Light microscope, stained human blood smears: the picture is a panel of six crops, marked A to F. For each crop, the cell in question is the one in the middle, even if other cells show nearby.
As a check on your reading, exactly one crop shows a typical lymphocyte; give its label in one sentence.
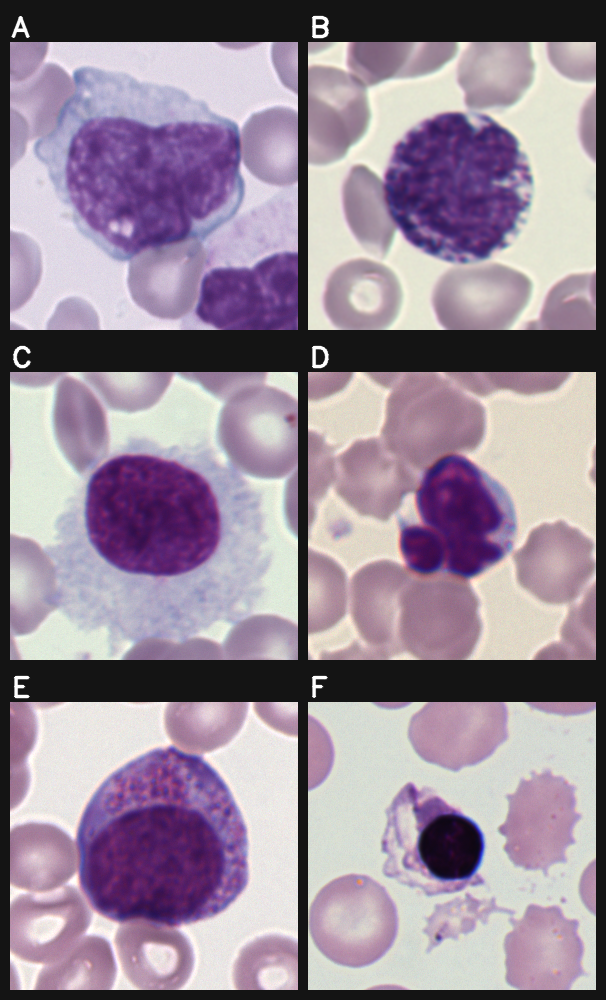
The crop with a typical lymphocyte at its center is crop D.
